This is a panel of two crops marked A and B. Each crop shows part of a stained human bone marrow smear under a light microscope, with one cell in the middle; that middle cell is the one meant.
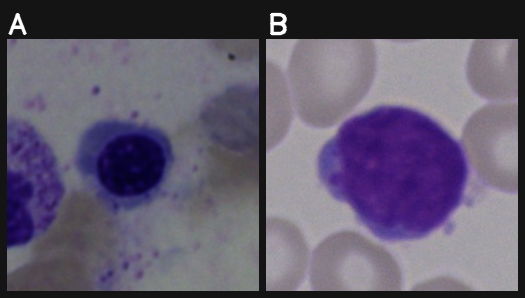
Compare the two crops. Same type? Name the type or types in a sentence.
No, a blast is in crop B, and a normoblast is in crop A.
